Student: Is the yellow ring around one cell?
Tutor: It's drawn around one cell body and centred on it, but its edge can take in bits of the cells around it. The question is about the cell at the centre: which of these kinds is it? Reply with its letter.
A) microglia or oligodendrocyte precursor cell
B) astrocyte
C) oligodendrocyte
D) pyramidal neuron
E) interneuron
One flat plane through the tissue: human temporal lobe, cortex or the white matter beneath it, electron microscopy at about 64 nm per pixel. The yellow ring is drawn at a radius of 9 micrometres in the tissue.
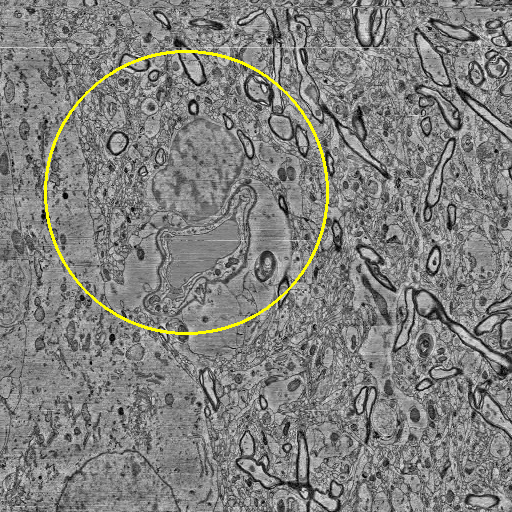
C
